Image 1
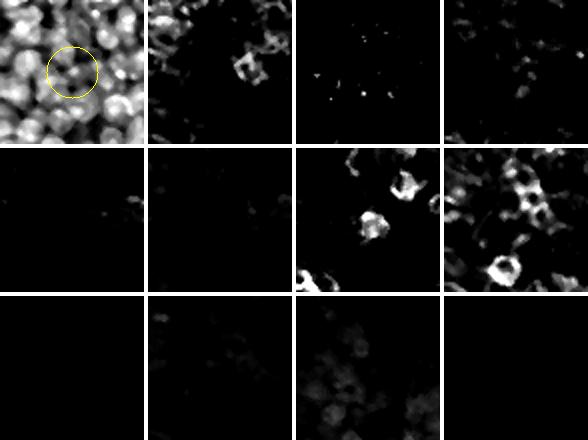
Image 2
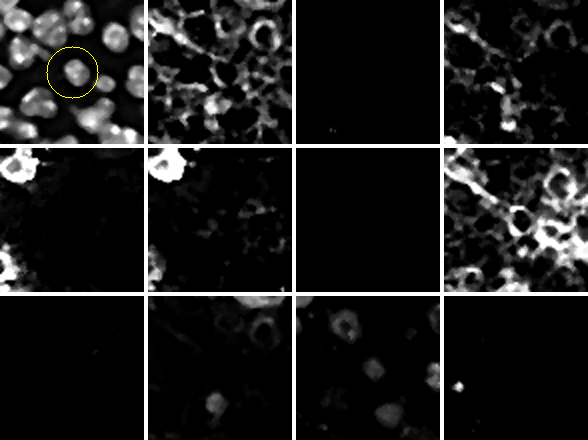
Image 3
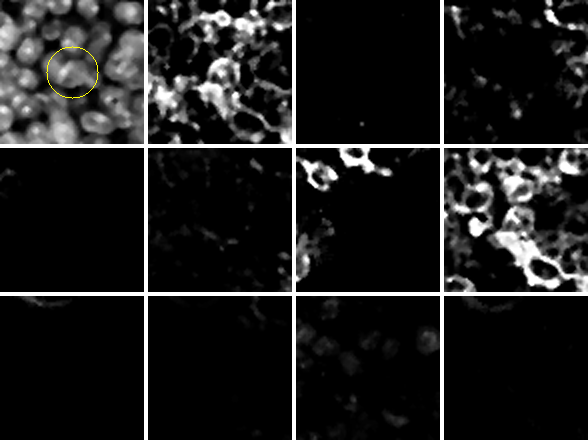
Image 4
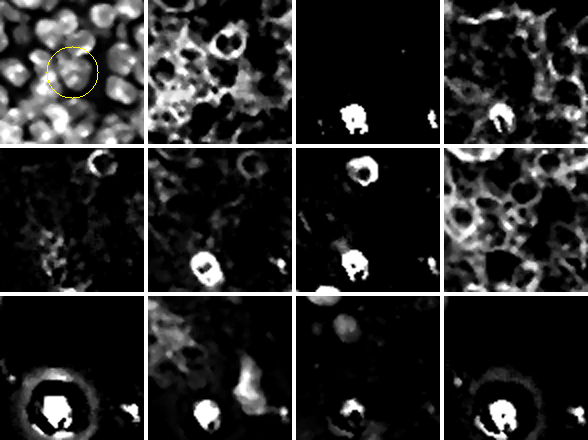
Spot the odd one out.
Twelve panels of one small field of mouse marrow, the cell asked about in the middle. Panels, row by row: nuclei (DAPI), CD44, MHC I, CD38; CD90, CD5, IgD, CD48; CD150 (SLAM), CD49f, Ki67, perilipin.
Picture 1 (a B cell among monocytes).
